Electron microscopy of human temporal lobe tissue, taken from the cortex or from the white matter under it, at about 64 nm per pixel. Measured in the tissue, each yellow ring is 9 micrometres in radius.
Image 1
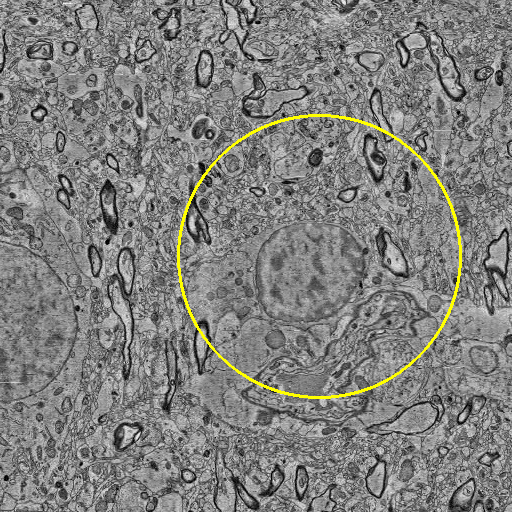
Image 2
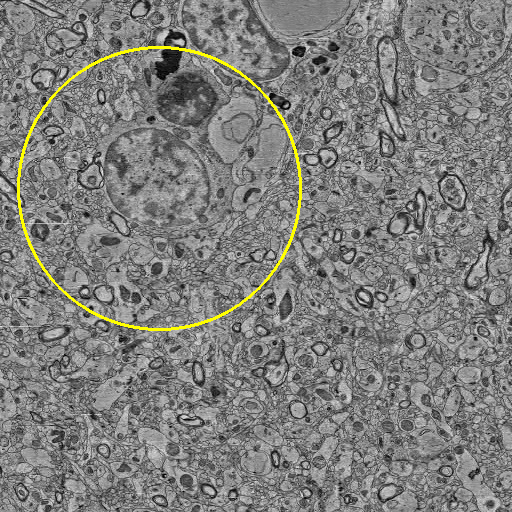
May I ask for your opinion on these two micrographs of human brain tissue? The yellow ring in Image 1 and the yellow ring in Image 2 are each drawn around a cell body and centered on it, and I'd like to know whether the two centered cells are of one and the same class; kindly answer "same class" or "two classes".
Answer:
same class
